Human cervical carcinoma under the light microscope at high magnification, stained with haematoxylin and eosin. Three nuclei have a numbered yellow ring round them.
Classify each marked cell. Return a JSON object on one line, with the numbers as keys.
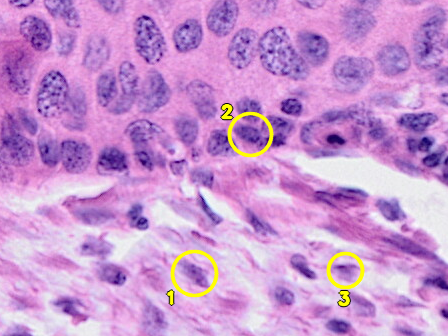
{"1": "fibroblast", "2": "squamous carcinoma cell", "3": "fibroblast"}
